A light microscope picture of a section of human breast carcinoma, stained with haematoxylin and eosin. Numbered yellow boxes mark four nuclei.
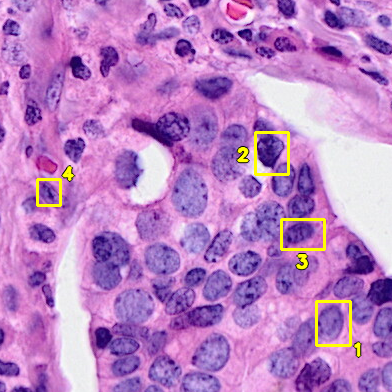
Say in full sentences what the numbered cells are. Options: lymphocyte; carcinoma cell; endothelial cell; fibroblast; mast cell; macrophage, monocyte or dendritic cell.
Cells 1, 2 and 3 are carcinoma cells. Cell 4 is an endothelial cell.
